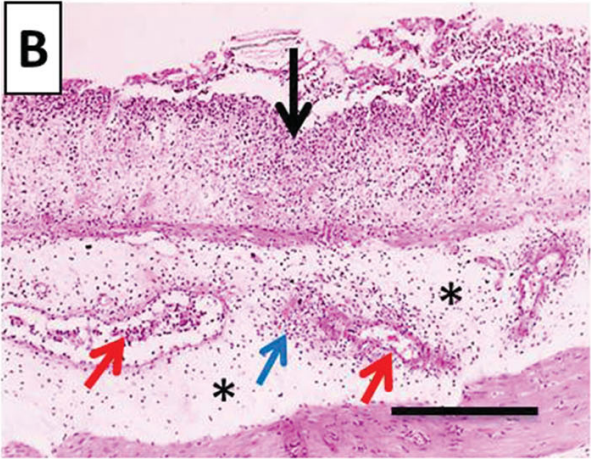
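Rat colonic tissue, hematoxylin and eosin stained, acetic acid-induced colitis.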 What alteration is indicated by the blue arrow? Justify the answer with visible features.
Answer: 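The arrow points to a dense cluster of small dark nuclei in the submucosa.
Hence: inflammatory cells infiltration.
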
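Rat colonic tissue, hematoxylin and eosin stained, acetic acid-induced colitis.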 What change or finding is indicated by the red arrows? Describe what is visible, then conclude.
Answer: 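Congestion. The arrows point to vessels in the submucosa.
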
